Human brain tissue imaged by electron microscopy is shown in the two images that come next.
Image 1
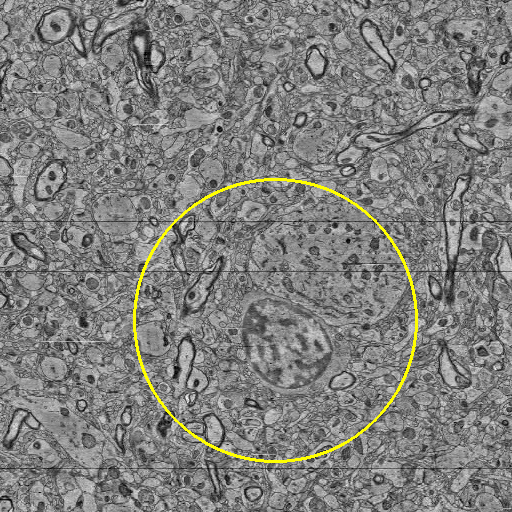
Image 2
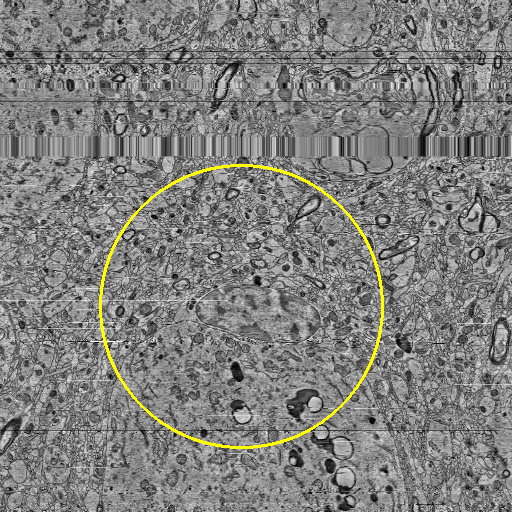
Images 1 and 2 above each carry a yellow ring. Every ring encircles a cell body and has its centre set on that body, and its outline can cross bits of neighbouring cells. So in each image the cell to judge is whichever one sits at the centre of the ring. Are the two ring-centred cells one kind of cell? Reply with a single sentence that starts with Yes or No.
No, in Image 1 and Image 2 the cells at the centres of their rings fall into two types.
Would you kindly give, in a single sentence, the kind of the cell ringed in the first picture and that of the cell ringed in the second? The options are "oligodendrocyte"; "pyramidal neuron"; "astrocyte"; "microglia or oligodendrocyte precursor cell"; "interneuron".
The second cell is a microglial cell or oligodendrocyte precursor cell, and the first cell is an oligodendrocyte.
